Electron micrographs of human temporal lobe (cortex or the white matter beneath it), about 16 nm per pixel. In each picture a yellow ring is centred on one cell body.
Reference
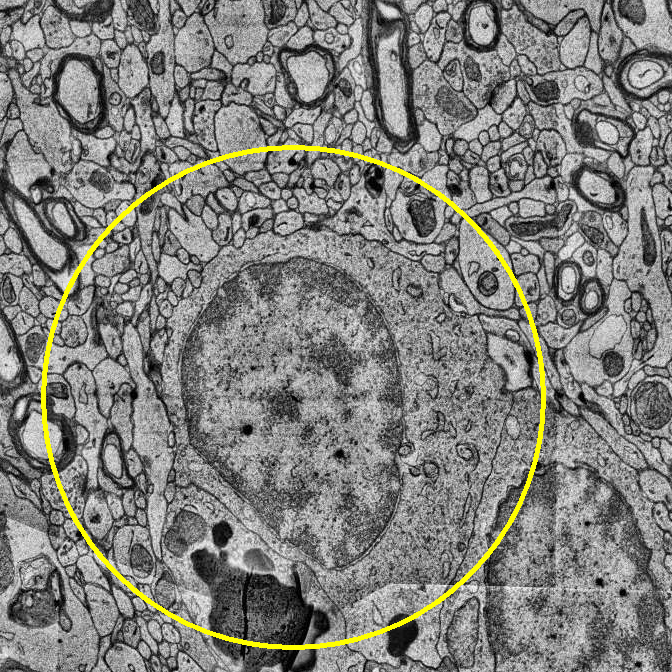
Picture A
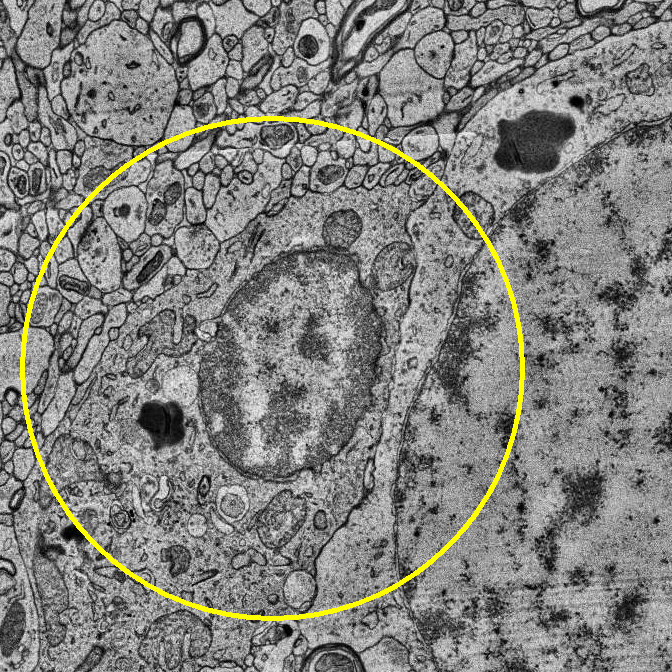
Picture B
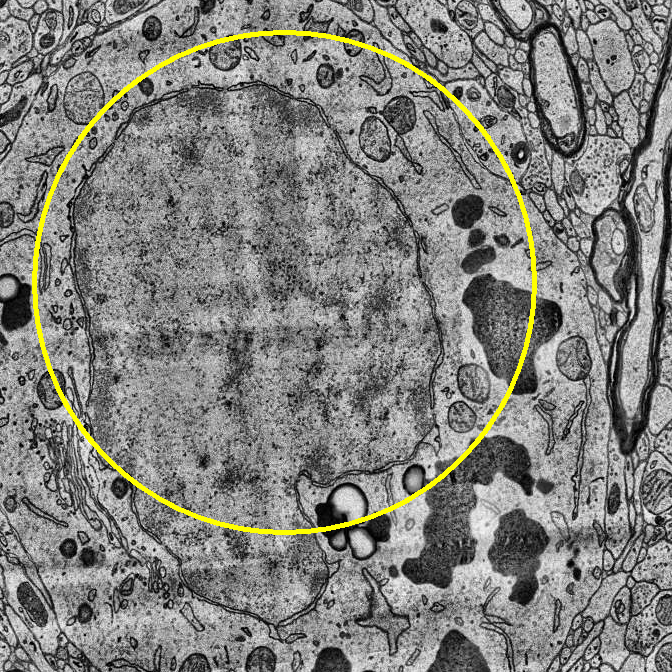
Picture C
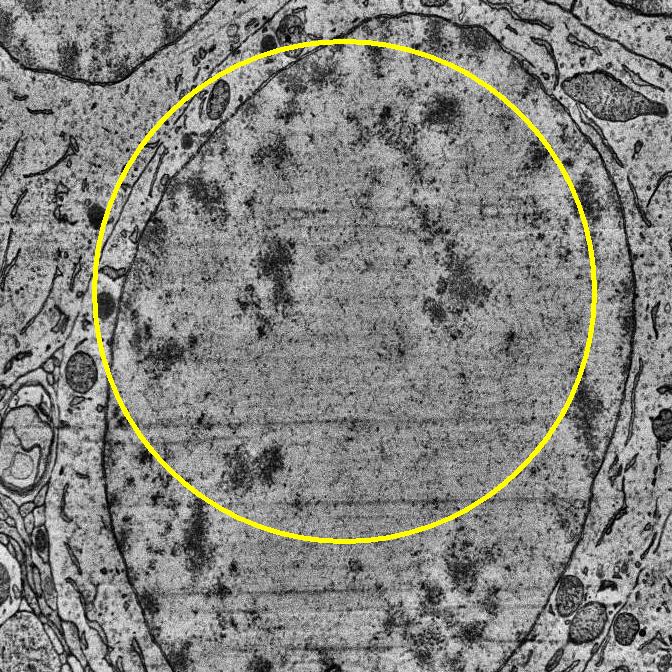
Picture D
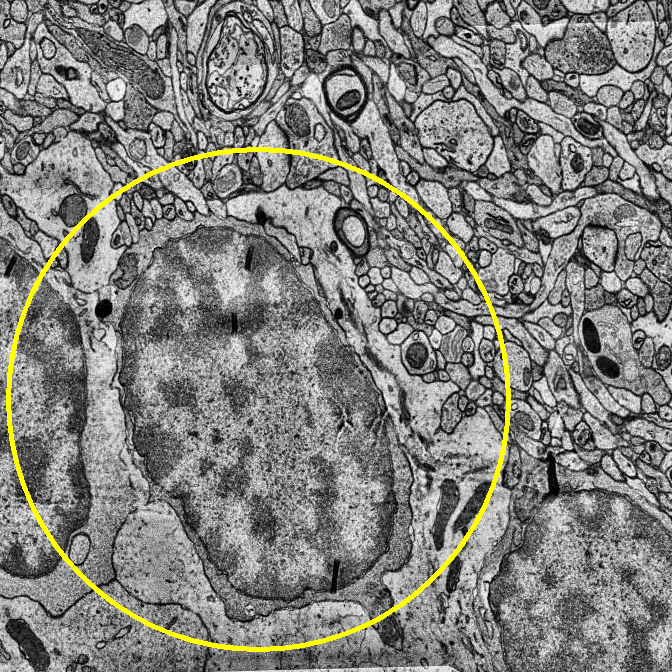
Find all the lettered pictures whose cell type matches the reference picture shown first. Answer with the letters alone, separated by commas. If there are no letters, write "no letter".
A, D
